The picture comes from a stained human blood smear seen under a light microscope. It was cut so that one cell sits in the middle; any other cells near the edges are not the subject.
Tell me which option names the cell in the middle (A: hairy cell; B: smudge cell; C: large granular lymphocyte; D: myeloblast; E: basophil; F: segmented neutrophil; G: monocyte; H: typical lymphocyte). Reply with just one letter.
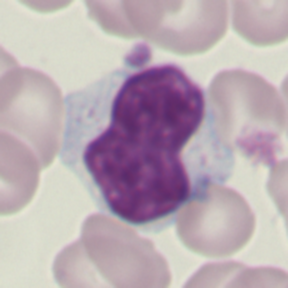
C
